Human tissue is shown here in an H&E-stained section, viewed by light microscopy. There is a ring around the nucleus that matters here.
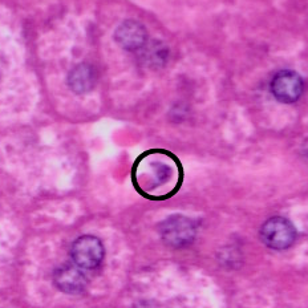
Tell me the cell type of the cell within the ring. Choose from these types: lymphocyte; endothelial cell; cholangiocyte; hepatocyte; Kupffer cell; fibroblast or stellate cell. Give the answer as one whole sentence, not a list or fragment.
For the purposes of cell typing, the cell within the ring is categorized as an endothelial cell.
